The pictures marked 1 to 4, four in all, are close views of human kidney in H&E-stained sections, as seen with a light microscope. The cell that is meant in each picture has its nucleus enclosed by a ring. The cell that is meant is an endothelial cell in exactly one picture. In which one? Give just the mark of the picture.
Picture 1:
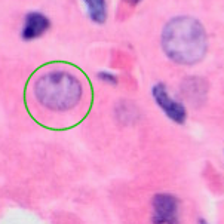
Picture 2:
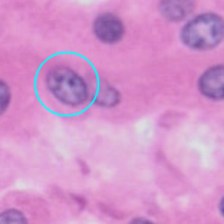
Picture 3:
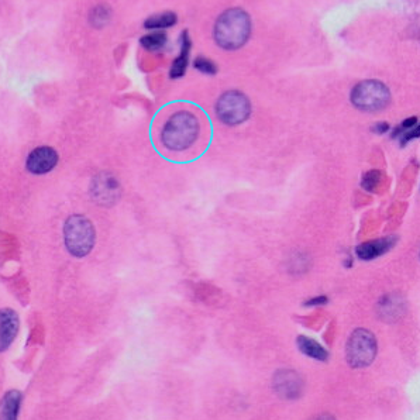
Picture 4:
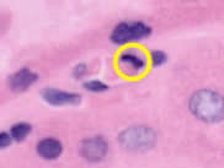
4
